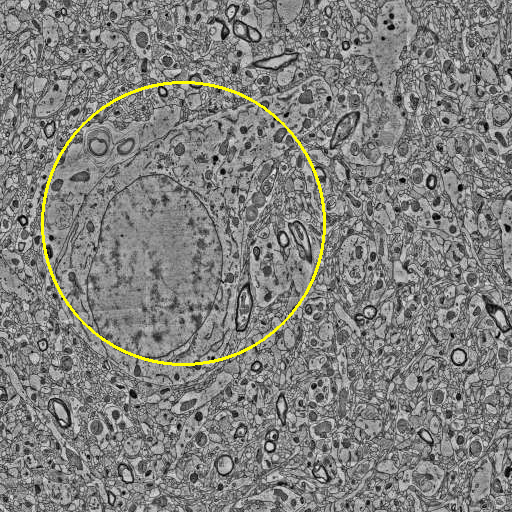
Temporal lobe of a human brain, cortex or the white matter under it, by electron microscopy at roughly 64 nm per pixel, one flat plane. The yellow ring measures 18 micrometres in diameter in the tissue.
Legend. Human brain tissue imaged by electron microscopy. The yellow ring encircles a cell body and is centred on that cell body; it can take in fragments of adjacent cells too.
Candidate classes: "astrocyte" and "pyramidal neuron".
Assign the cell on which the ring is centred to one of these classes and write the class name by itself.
pyramidal neuron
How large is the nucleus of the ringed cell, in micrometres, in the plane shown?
The nucleus works out at approximately 12 by 8 micrometres in this plane.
